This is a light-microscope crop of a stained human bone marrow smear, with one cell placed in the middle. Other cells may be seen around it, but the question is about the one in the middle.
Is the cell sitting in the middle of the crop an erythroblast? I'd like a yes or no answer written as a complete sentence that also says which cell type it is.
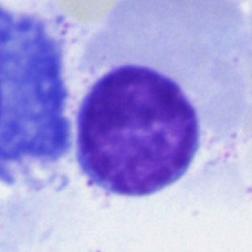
No, the middle of the crop holds a lymphocyte, not an erythroblast.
